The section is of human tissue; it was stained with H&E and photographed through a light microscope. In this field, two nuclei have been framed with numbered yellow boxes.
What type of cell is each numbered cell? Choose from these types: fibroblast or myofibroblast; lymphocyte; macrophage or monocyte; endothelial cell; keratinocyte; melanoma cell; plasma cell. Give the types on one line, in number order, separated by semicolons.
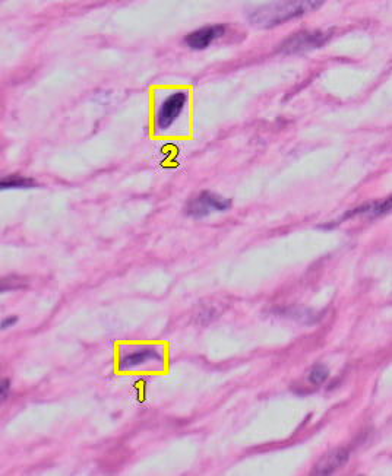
fibroblast or myofibroblast; lymphocyte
